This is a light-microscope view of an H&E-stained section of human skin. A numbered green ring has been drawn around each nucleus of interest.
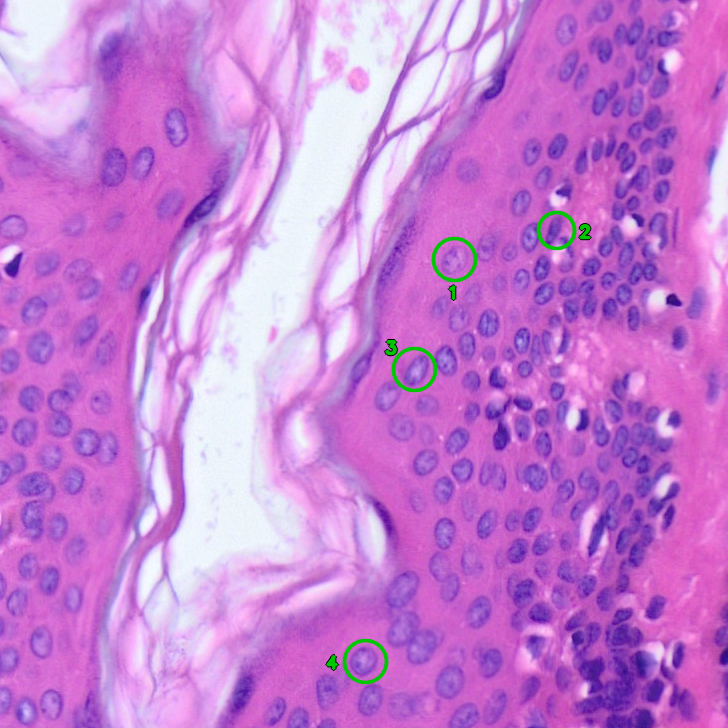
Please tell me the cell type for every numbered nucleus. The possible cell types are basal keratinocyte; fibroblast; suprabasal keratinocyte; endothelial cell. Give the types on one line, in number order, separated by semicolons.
suprabasal keratinocyte; basal keratinocyte; suprabasal keratinocyte; suprabasal keratinocyte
